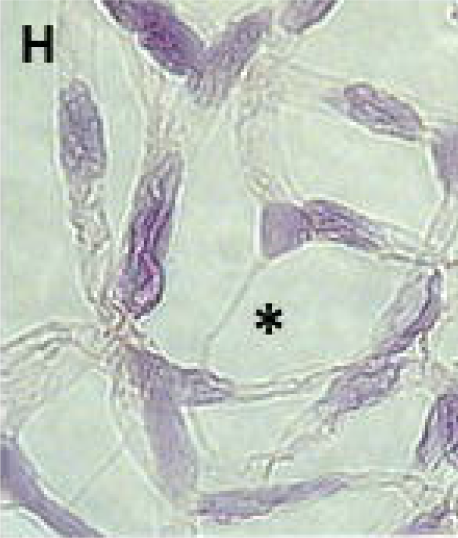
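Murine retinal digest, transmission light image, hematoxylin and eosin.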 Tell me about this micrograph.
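Pale, glassy tubes branch and join to form a mesh with open spaces between them. Along the tubes sit many purple nuclei, elongated and lying along the length of the vessel, some thicker and more rounded where they bulge from the wall. Near the centre a much thinner, pale thread crosses an open space between vessels; it carries no nuclei at all and is only a faint outline, quite unlike the nucleated tubes around it.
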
